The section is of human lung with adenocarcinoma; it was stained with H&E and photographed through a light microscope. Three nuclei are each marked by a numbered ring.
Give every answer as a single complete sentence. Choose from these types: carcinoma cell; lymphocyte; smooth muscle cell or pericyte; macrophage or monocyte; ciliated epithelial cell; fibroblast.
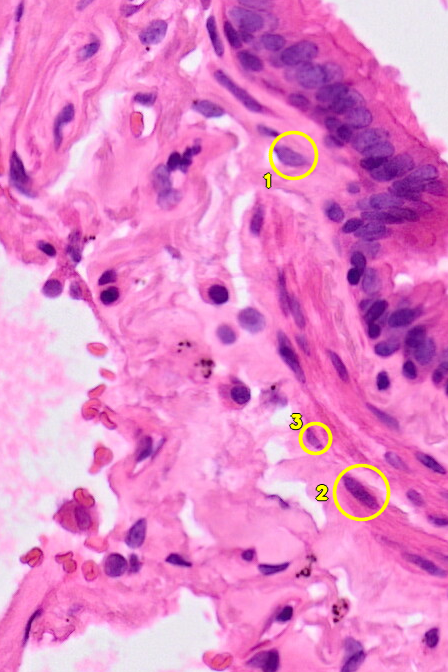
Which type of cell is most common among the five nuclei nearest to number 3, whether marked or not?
Around number 3, most of the five nearest nuclei are those of fibroblasts.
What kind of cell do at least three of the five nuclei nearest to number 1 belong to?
Around number 1, most of the five nearest nuclei are those of ciliated epithelial cells.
